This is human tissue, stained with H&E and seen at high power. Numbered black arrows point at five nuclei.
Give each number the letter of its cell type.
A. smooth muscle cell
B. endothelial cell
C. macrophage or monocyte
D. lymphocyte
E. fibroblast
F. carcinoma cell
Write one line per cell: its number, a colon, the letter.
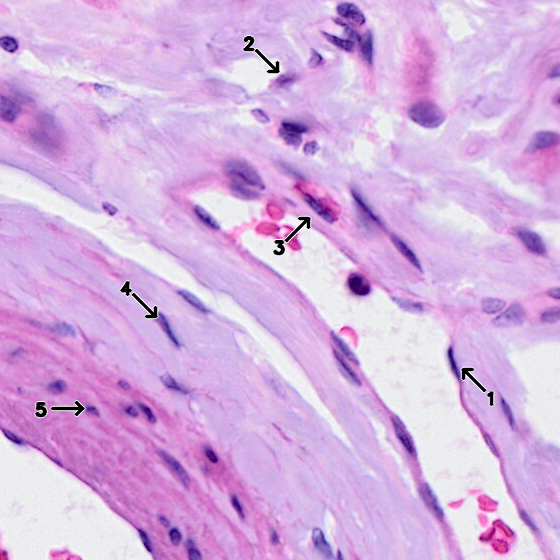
1: B
2: E
3: B
4: E
5: A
